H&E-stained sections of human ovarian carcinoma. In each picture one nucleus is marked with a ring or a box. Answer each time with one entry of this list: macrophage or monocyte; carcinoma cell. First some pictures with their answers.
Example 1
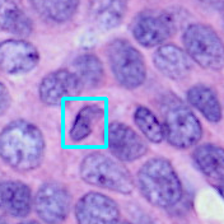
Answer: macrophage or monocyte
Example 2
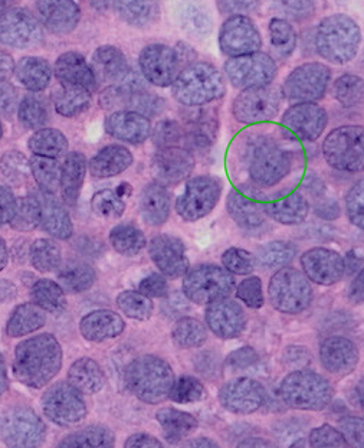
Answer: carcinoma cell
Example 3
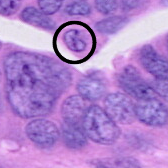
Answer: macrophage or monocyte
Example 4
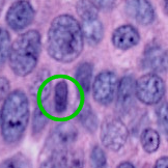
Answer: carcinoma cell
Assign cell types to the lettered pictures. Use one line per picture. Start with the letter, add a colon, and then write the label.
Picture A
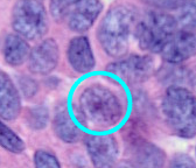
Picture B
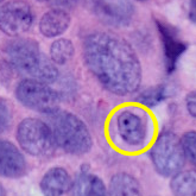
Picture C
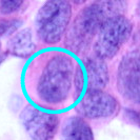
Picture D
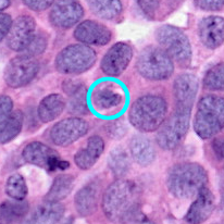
A: carcinoma cell
B: macrophage or monocyte
C: carcinoma cell
D: macrophage or monocyte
